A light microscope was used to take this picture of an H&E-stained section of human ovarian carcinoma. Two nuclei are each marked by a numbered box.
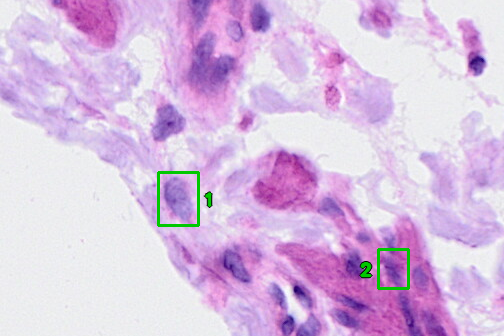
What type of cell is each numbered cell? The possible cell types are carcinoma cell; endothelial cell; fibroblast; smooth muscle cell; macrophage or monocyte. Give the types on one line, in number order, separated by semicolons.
fibroblast; smooth muscle cell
